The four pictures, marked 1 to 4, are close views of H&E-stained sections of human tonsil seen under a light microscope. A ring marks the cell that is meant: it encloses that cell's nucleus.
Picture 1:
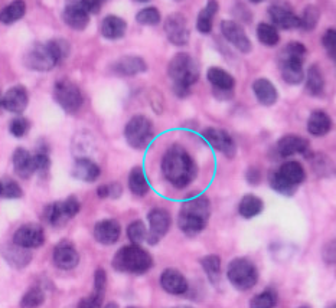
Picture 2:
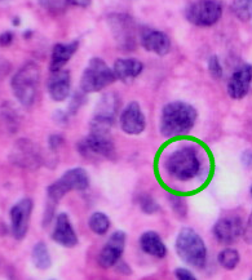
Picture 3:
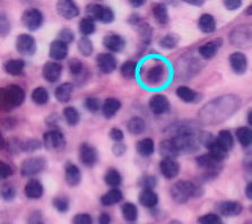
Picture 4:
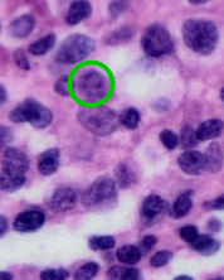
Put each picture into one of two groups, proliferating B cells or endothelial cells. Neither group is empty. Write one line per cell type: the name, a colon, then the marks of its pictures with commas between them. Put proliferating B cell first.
proliferating B cell: 1, 2, 4
endothelial cell: 3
